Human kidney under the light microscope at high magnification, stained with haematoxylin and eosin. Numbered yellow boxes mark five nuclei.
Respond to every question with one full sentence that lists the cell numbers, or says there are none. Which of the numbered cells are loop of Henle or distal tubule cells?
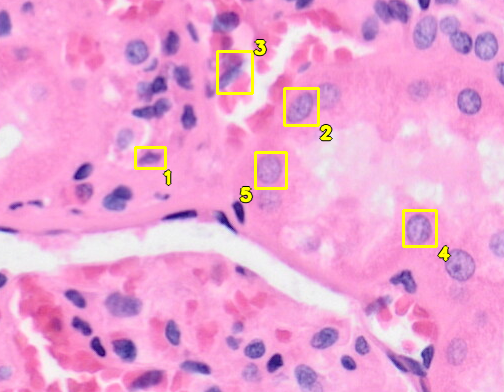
Just one of the numbered cells is a loop of Henle or distal tubule cell, namely number 1.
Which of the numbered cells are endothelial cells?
Cell 3 is an endothelial cell, whereas each of the other numbered cells is not.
